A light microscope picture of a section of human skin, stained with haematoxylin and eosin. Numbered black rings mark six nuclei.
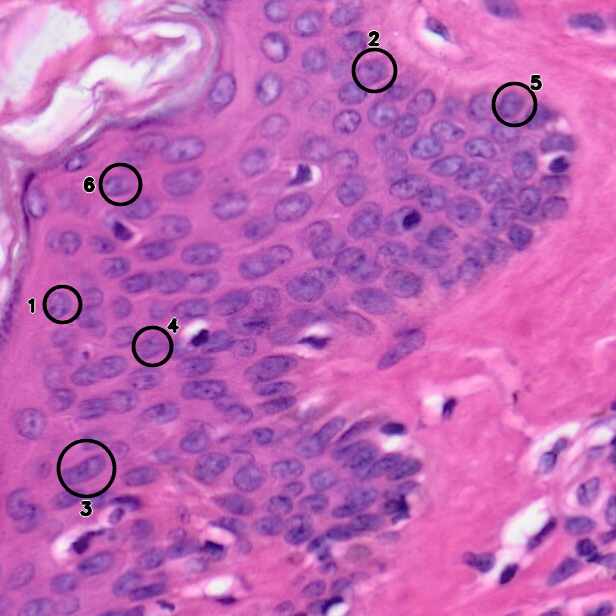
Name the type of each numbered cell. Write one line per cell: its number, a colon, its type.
1: suprabasal keratinocyte
2: basal keratinocyte
3: suprabasal keratinocyte
4: suprabasal keratinocyte
5: basal keratinocyte
6: suprabasal keratinocyte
